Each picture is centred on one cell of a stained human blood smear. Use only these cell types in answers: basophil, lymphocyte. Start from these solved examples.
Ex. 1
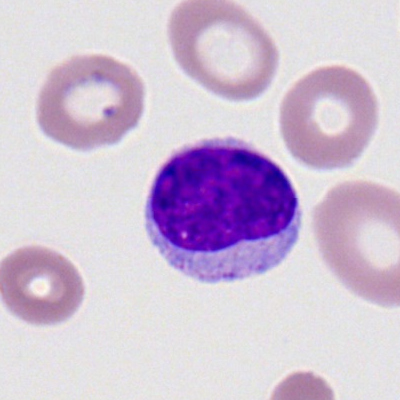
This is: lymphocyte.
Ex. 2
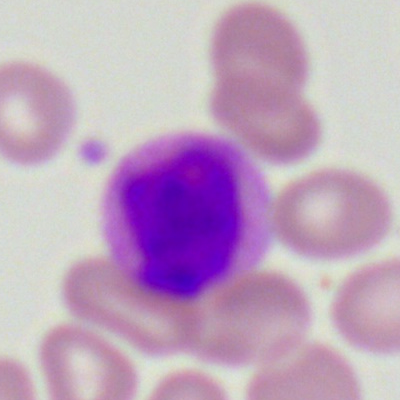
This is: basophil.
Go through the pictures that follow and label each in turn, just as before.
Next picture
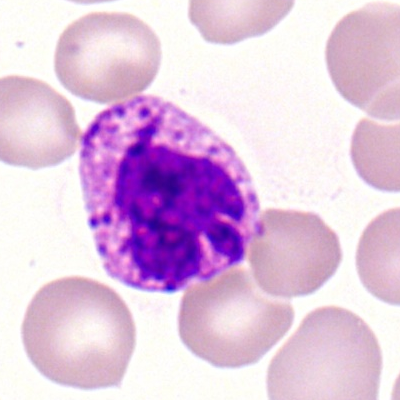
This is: basophil.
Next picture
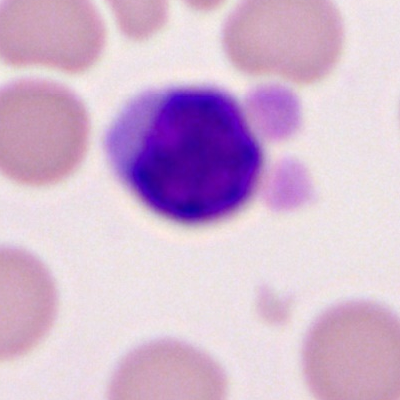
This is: lymphocyte.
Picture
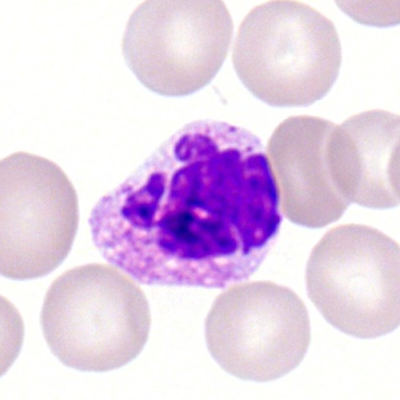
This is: basophil.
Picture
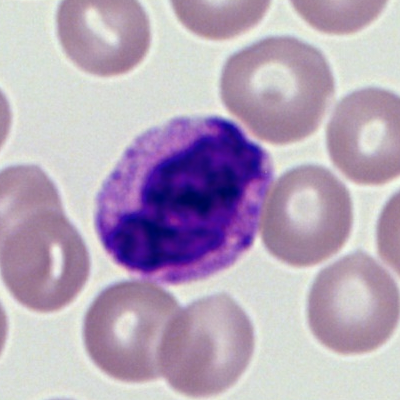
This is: basophil.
